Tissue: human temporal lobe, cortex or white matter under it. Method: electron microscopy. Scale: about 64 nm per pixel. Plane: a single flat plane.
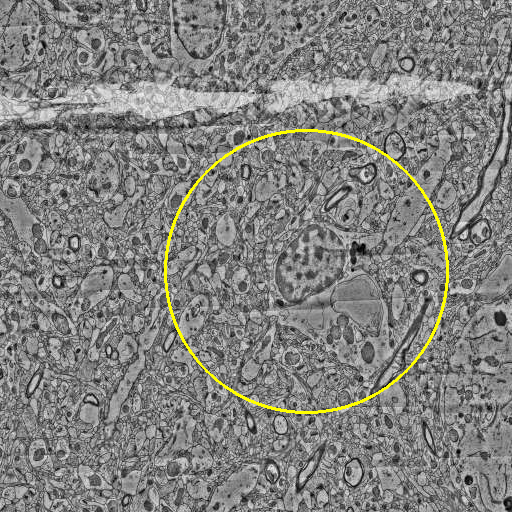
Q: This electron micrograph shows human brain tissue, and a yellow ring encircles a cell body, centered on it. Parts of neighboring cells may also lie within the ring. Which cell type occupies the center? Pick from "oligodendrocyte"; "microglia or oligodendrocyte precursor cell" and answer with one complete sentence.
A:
What sits at the ring's center in this micrograph is a microglial cell or oligodendrocyte precursor cell, among those choices.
